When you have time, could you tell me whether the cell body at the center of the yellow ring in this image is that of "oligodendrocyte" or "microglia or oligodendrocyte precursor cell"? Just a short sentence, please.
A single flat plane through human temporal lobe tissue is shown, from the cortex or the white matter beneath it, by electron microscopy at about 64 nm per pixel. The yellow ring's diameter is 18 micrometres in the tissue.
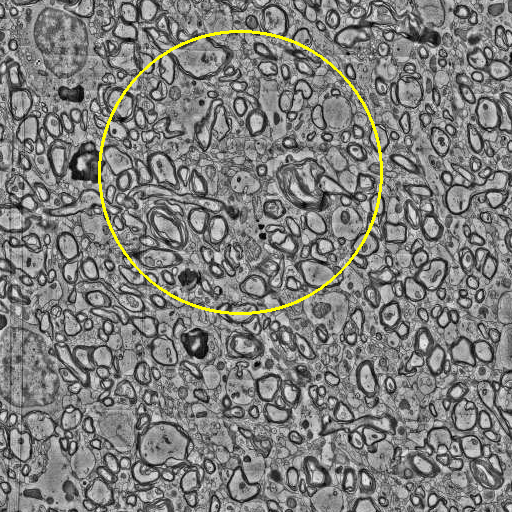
The cell body at the center of the ring is that of an oligodendrocyte.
